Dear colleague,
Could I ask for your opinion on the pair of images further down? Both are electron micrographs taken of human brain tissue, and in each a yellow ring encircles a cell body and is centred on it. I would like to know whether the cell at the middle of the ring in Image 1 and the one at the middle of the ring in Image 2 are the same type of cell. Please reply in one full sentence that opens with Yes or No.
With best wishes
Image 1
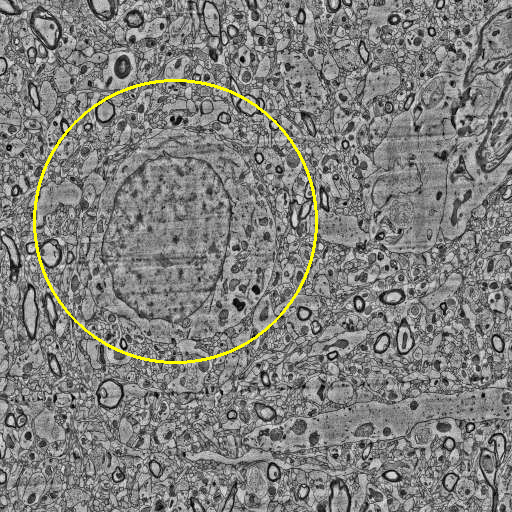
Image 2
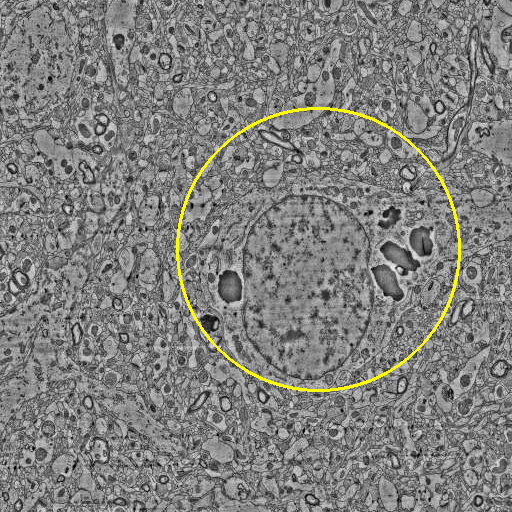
Yes, the cells at the ring centres in Image 1 and Image 2 are of one type.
